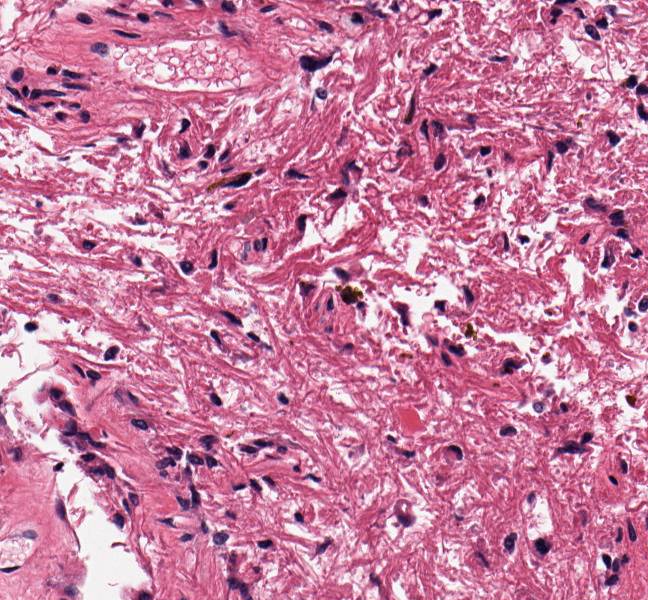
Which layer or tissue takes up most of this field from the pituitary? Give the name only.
neurohypophysis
